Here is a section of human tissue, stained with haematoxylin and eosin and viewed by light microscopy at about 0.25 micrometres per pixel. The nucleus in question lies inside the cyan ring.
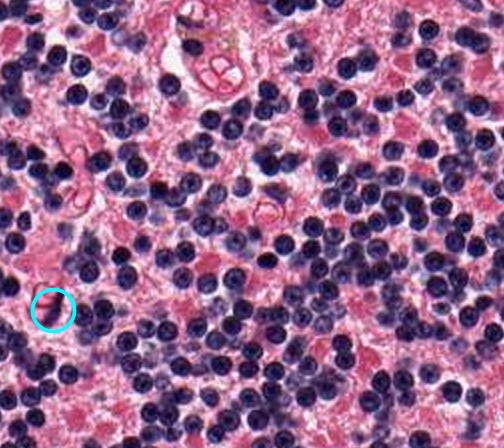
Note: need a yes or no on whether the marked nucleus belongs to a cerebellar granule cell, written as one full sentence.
No, the nucleus that is marked belongs to a supporting cell rather than to a cerebellar granule cell.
